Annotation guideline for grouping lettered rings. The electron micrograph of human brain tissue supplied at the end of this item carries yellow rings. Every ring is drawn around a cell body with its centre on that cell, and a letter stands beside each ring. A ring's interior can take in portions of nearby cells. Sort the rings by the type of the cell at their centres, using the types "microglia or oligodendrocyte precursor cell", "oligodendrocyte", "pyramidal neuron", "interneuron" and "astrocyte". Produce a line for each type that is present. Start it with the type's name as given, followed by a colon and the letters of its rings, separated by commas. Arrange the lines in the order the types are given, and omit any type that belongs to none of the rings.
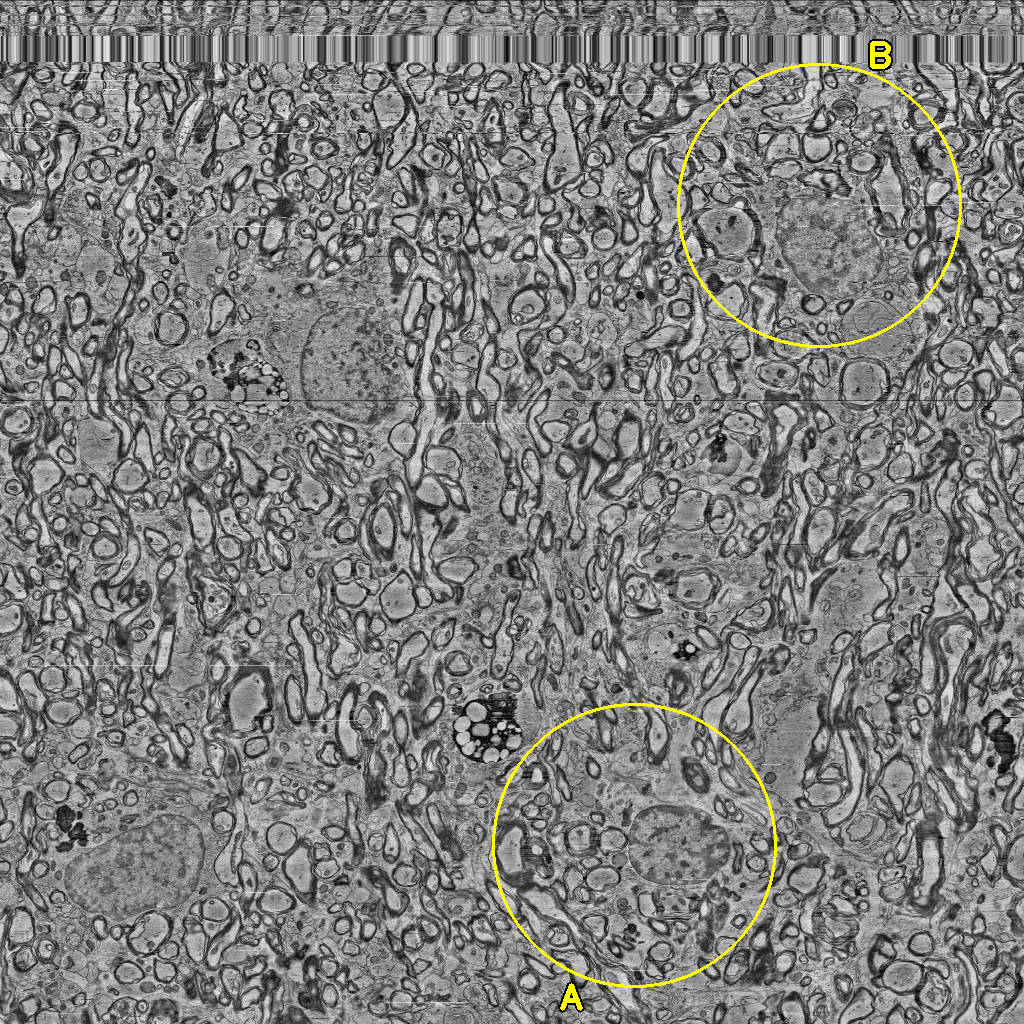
microglia or oligodendrocyte precursor cell: A
oligodendrocyte: B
